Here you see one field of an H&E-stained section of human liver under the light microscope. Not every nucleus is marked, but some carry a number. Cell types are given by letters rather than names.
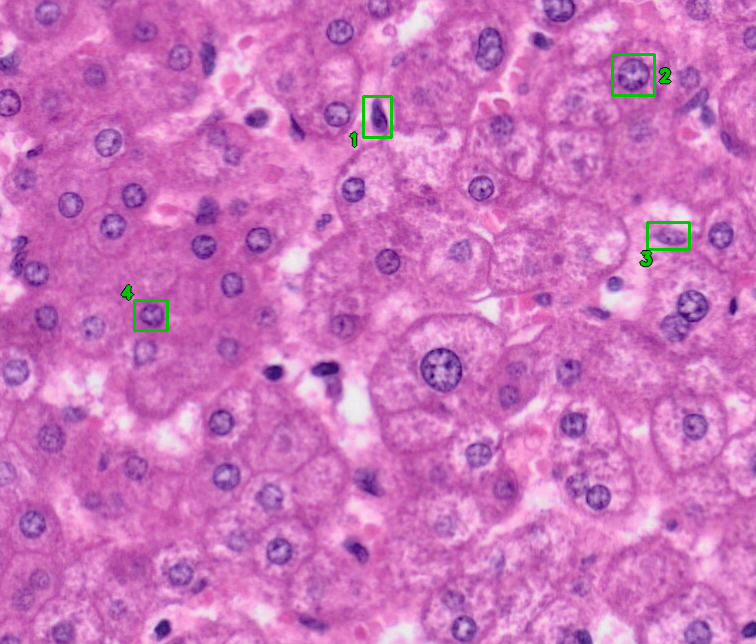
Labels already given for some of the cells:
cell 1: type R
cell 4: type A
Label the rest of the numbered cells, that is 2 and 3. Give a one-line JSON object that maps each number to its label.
{"2": "type A", "3": "type R"}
